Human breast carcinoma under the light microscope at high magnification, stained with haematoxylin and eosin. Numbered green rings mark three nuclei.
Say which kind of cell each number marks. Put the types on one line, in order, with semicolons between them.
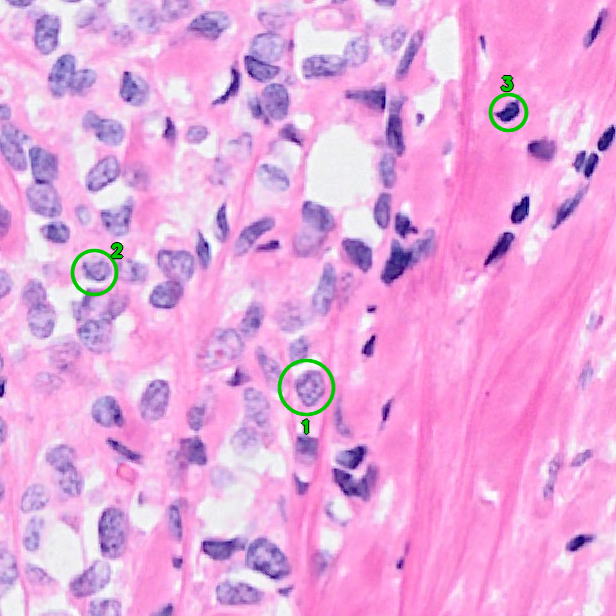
carcinoma cell; carcinoma cell; lymphocyte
